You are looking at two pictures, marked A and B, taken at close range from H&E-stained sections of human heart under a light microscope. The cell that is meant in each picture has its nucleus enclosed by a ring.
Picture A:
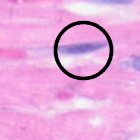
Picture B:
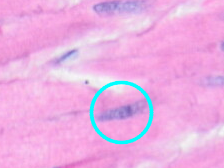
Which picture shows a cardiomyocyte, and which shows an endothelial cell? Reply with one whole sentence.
Picture A shows an endothelial cell and picture B shows a cardiomyocyte.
